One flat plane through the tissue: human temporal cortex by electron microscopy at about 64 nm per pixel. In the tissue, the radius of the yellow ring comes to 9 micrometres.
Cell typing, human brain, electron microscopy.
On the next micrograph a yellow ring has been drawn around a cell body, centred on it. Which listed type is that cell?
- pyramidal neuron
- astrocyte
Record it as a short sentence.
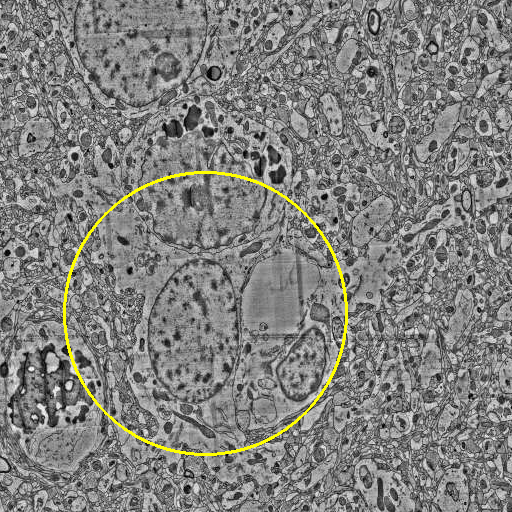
The cell body in the ring's centre belongs to an astrocyte.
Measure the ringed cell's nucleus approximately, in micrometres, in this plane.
Roughly 9 by 6 micrometers, clearly longer than it is wide in this plane.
